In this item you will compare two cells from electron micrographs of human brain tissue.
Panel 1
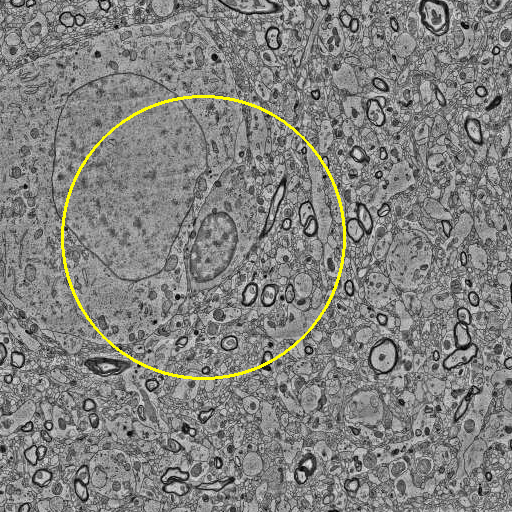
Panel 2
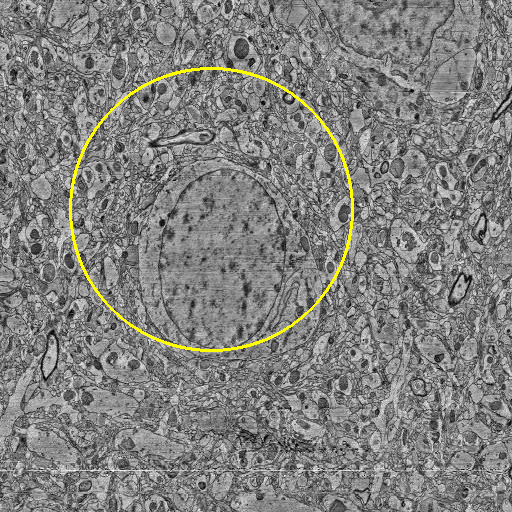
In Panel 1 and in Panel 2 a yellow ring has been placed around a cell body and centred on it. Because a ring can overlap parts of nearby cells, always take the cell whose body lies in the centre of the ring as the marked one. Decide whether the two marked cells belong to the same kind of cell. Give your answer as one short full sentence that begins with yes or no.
No, the two marked cells belong to two kinds of cell.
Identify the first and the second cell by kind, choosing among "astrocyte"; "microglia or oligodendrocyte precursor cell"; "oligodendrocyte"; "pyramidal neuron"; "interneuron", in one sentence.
The one in the first picture is an oligodendrocyte, while the one in the second is a pyramidal neuron.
